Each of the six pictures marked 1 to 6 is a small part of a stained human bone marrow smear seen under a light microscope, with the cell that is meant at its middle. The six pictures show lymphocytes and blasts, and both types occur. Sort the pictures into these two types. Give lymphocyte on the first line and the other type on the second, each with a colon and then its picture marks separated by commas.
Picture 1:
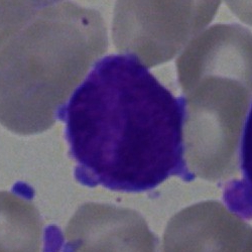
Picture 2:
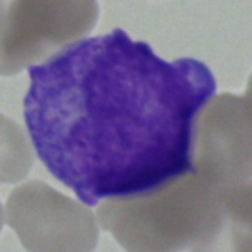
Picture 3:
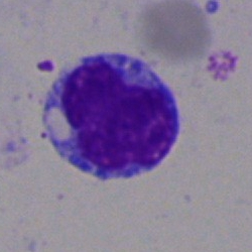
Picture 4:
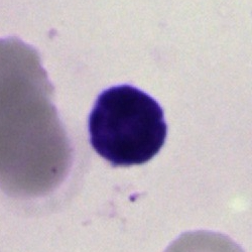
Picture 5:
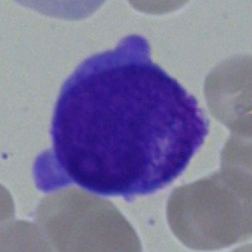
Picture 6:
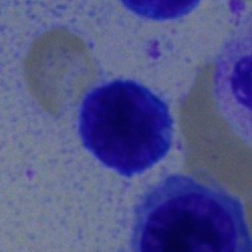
lymphocyte: 3, 4, 6
blast: 1, 2, 5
